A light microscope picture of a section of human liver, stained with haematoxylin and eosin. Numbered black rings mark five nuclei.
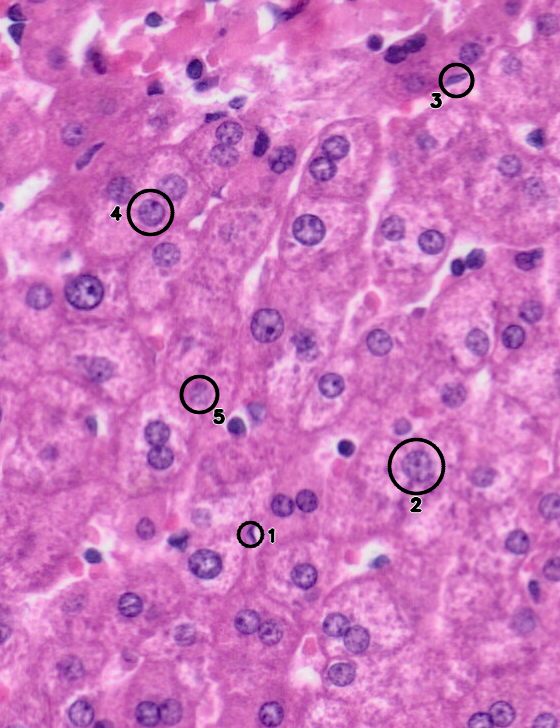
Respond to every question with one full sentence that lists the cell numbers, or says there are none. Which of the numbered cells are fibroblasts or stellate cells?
None of the numbered nuclei belong to fibroblasts or stellate cells.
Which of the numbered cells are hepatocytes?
The cells numbered 2, 4 and 5 fall into the category of hepatocytes.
